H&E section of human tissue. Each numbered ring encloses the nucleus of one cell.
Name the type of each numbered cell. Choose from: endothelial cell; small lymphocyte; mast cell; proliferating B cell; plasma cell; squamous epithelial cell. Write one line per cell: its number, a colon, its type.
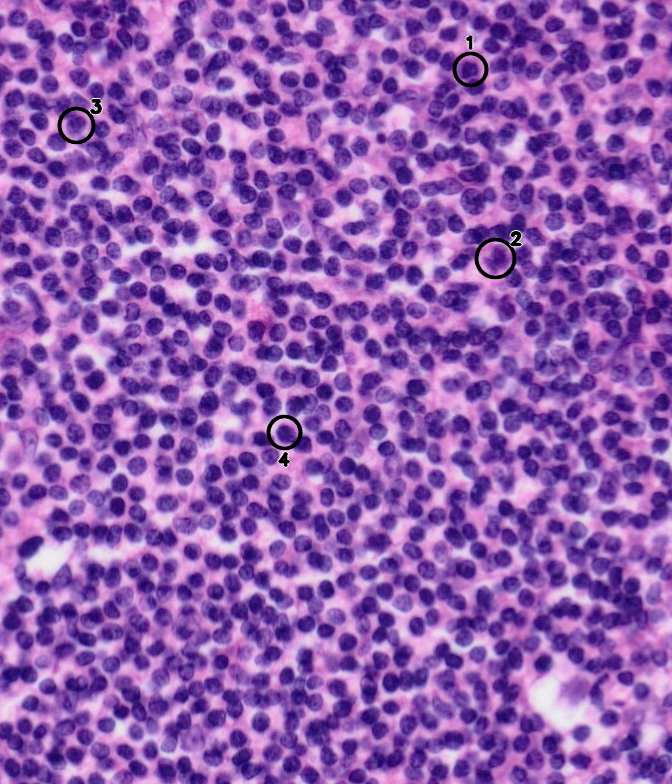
1: small lymphocyte
2: proliferating B cell
3: small lymphocyte
4: small lymphocyte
